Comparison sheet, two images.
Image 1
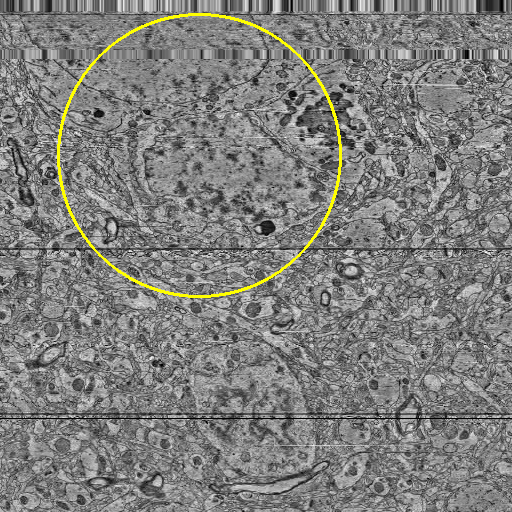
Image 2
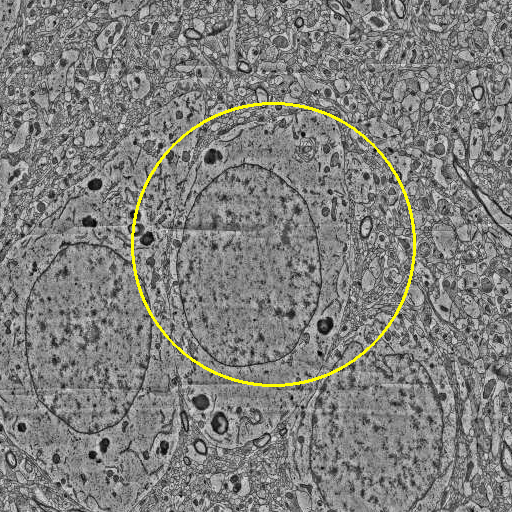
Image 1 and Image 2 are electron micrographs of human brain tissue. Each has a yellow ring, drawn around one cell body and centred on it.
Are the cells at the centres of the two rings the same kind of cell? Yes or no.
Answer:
no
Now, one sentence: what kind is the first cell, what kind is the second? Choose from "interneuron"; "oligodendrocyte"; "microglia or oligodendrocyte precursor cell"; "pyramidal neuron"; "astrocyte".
The first picture has an interneuron at its ring centre, and the second has a pyramidal neuron.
